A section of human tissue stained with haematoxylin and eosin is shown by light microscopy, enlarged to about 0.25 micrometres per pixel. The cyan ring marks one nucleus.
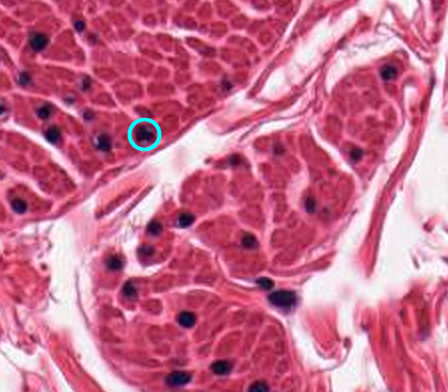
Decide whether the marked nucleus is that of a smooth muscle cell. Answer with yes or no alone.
yes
